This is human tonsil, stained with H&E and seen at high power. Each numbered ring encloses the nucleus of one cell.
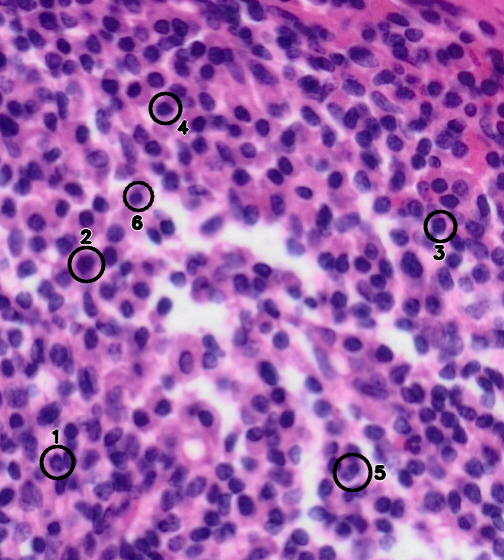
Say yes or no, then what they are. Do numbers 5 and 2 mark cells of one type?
No, cell 5 is a small lymphocyte and cell 2 is a plasma cell.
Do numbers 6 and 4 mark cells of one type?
Yes, both are plasma cells.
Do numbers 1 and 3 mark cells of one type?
Yes, both are small lymphocytes.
